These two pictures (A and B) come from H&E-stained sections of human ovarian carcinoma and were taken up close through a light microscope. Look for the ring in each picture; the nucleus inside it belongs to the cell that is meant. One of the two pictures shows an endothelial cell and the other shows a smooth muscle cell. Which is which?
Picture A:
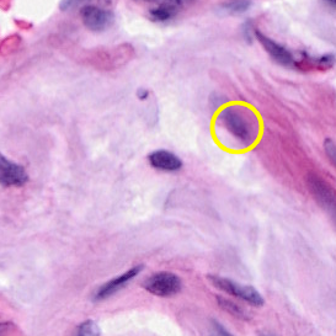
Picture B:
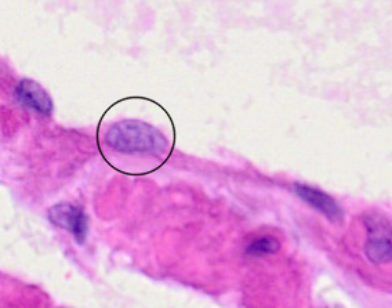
A: smooth muscle cell
B: endothelial cell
